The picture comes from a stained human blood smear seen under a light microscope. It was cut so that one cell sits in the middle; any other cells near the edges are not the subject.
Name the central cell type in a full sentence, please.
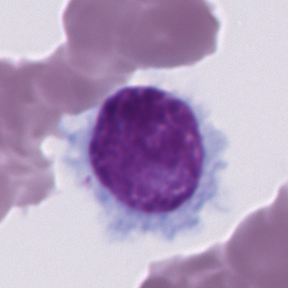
Where the crop is centred, there is a hairy cell.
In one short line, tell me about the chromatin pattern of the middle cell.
In this cell the chromatin is fine rather than coarsely clumped.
